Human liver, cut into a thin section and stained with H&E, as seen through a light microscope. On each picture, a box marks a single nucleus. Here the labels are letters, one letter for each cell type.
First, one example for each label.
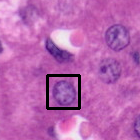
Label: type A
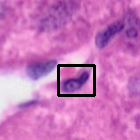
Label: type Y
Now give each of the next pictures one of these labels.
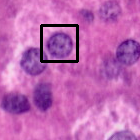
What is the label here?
type A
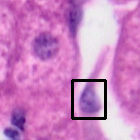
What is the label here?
type Y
